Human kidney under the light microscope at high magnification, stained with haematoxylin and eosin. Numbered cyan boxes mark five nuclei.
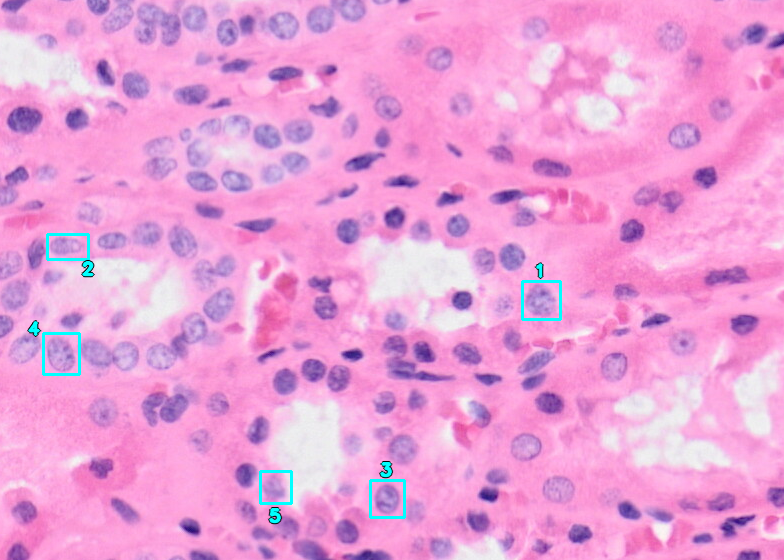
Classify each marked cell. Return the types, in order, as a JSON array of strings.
["loop of Henle or distal tubule cell", "collecting duct cell", "loop of Henle or distal tubule cell", "collecting duct cell", "loop of Henle or distal tubule cell"]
